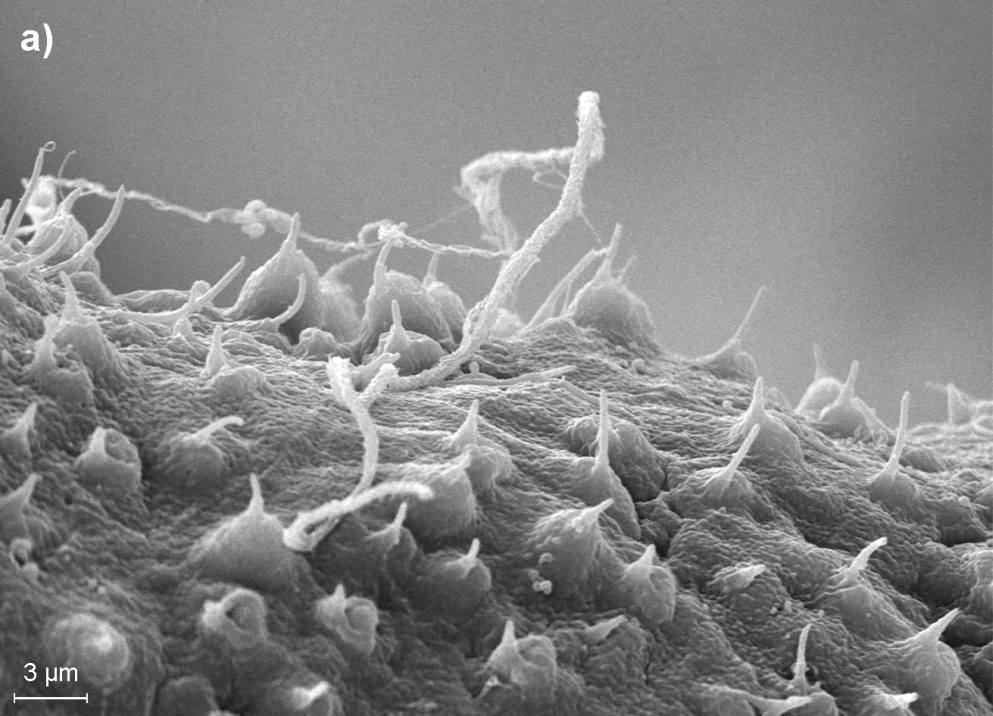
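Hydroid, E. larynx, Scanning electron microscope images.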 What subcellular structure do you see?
cnidocilia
